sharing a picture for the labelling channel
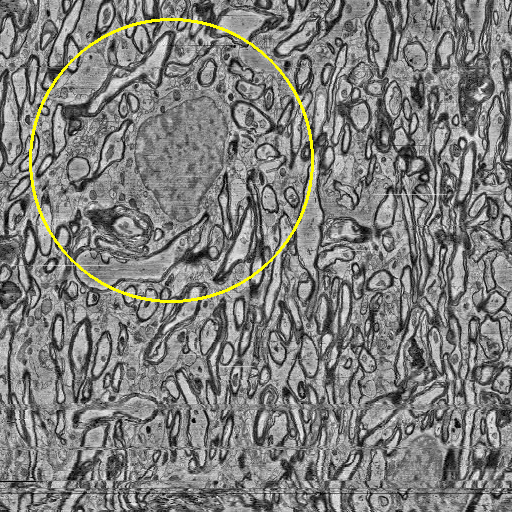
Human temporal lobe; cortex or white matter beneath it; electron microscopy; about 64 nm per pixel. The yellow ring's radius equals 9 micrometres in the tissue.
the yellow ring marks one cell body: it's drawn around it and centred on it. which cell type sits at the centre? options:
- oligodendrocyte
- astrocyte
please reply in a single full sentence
In the picture, the cell at the ring's centre is an oligodendrocyte, going by the list.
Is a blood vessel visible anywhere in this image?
No.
